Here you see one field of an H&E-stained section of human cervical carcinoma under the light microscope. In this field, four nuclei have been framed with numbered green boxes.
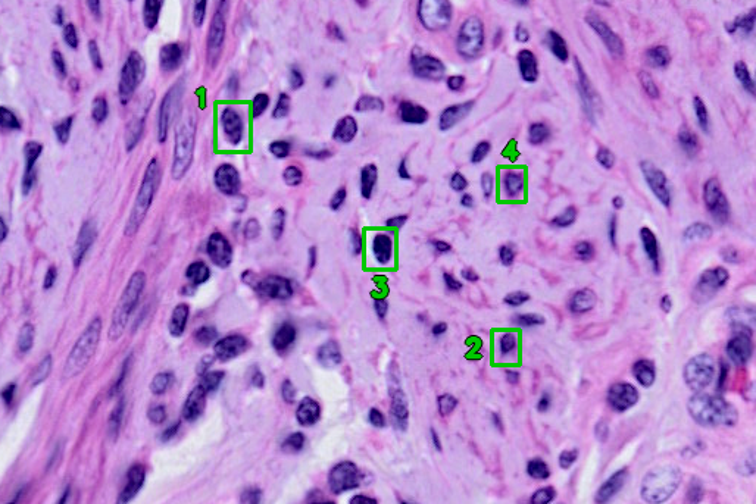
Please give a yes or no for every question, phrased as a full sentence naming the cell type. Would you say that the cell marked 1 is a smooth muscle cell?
No, the cell carrying number 1 is a lymphocyte, not a smooth muscle cell.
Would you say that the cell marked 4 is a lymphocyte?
No, cell 4 is not a lymphocyte; a smooth muscle cell is correct.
